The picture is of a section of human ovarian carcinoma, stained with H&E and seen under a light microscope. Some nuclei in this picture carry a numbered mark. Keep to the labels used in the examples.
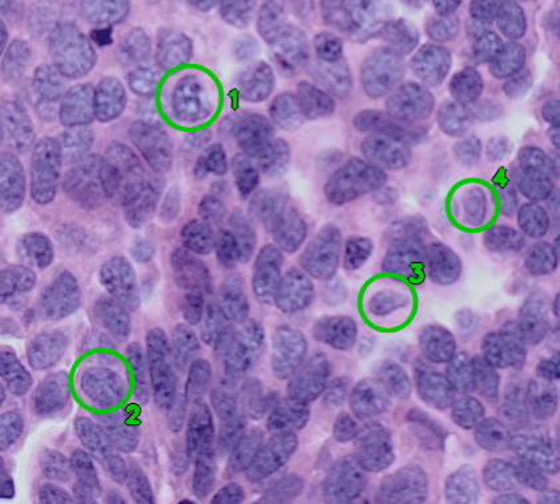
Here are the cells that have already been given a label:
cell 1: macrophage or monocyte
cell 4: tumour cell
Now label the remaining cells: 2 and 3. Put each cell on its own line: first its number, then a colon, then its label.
2: tumour cell
3: macrophage or monocyte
